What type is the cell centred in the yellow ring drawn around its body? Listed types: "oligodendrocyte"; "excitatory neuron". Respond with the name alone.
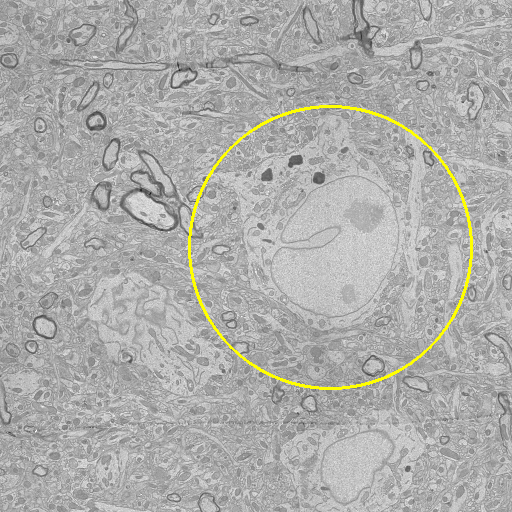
excitatory neuron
